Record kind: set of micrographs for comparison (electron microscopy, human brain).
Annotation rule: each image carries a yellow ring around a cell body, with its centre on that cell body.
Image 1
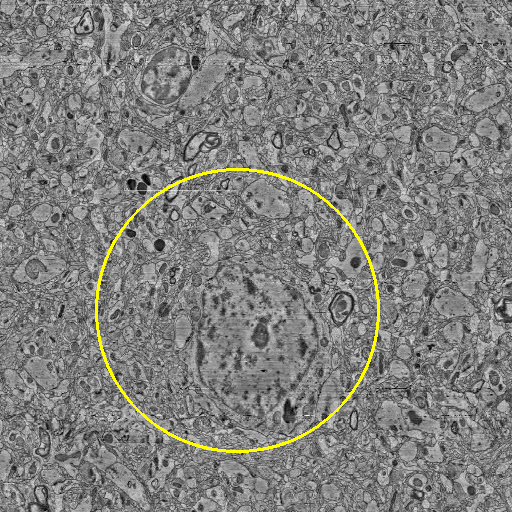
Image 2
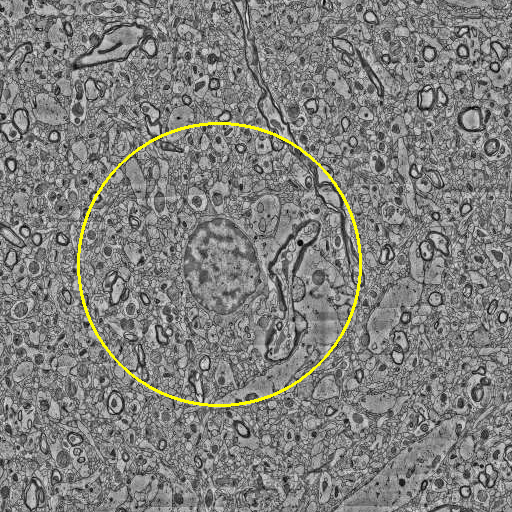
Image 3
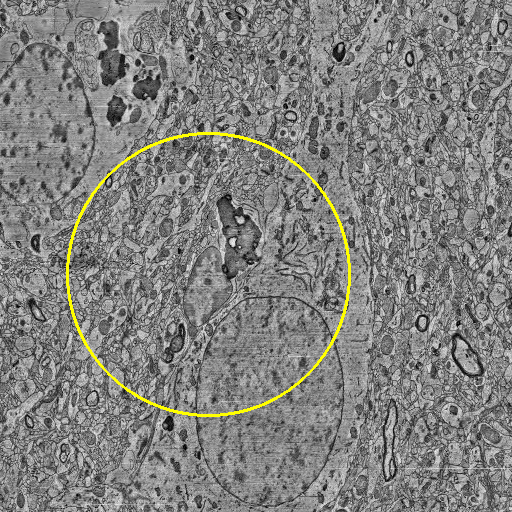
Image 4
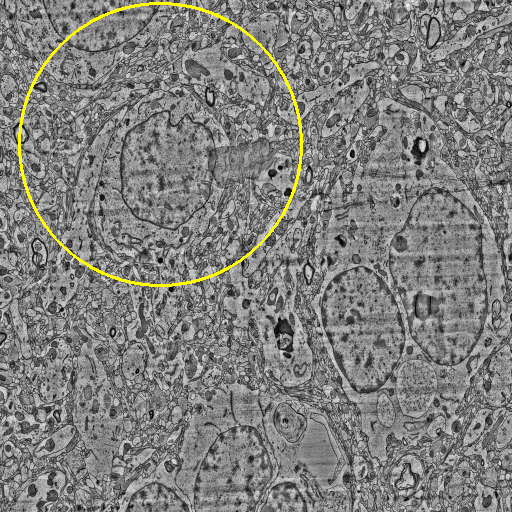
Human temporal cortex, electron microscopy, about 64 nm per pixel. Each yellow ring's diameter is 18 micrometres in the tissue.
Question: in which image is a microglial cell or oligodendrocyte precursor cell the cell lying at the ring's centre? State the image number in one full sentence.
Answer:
In image 3, the ring is centred on the cell in question.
